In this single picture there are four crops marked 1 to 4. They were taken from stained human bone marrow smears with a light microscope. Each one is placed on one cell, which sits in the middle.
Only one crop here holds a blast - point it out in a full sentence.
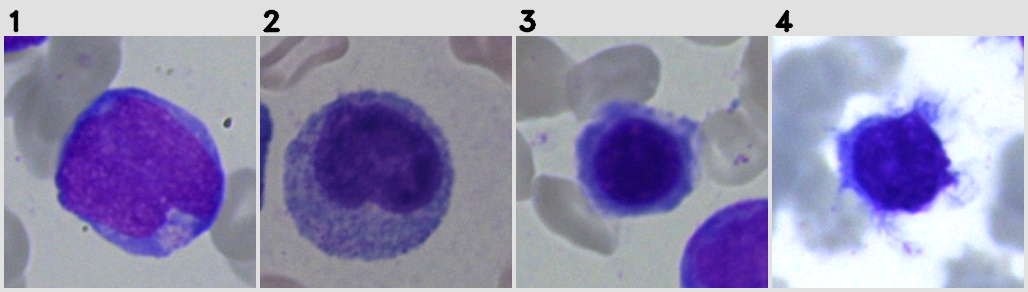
Crop 1 is where a blast is to be found.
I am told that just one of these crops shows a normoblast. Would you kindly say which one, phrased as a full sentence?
The crop that has a normoblast in the middle is crop 3.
